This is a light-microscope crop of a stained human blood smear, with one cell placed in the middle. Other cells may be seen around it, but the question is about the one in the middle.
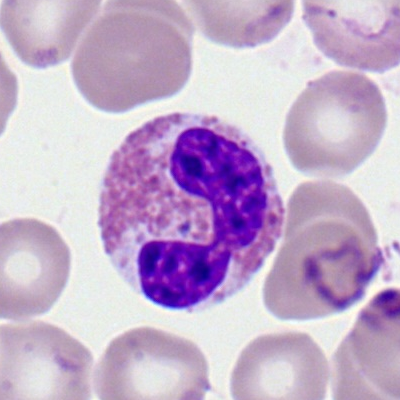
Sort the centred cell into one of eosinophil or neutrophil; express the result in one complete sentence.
Here the cell in the middle is an eosinophil.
